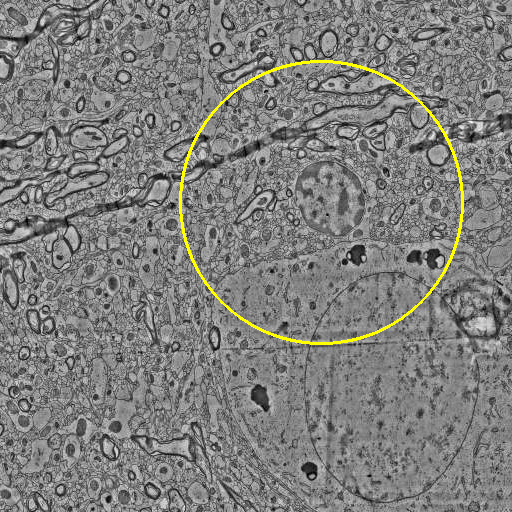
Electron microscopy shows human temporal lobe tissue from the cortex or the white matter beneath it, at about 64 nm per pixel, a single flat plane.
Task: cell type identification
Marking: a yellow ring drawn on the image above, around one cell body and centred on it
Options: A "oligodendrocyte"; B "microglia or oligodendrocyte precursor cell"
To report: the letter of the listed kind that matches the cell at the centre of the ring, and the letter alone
B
